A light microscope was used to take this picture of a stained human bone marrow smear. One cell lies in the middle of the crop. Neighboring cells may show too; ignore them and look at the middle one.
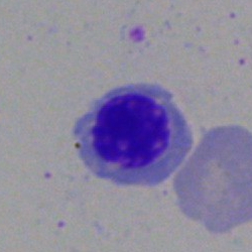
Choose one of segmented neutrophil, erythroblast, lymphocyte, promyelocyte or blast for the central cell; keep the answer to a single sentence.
The cell positioned in the middle of the field is an erythroblast.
